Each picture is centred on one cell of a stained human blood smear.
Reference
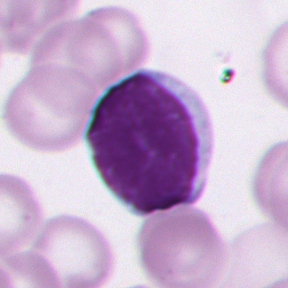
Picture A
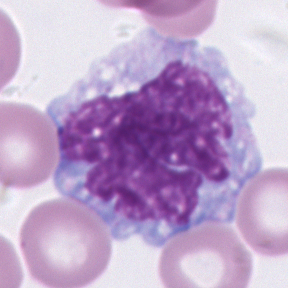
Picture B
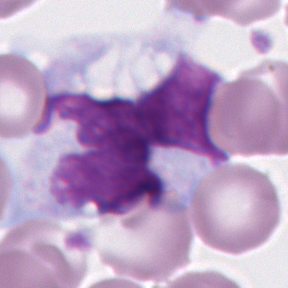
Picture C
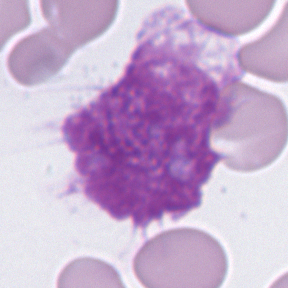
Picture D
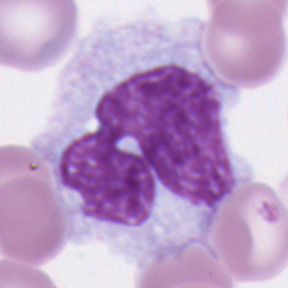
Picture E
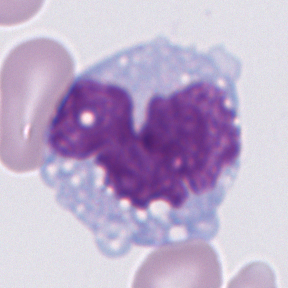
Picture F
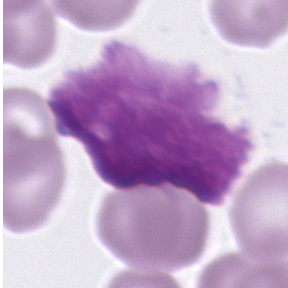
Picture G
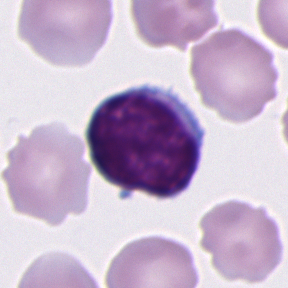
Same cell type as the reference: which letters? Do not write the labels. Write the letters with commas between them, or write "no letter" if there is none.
G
